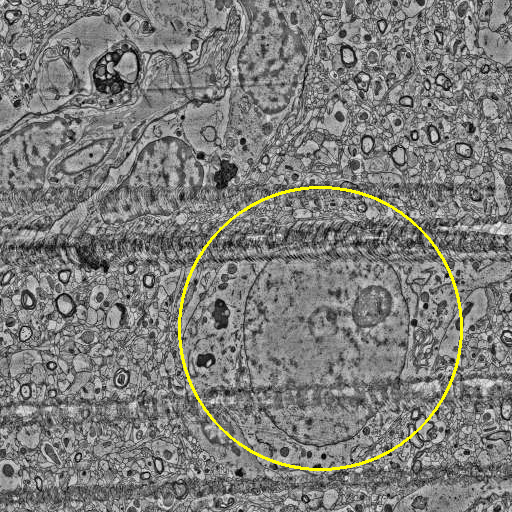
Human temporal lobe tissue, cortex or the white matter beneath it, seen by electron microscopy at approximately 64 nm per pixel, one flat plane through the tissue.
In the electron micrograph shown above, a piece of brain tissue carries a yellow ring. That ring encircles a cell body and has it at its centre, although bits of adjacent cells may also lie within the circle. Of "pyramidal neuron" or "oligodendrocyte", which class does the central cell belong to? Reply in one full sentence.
The cell body at the centre of the yellow ring belongs to a pyramidal neuron.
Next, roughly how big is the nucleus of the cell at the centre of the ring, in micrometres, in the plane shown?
In this plane the nucleus measures roughly 13 by 11 micrometers.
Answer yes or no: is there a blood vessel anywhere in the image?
Yes, there is a blood vessel.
